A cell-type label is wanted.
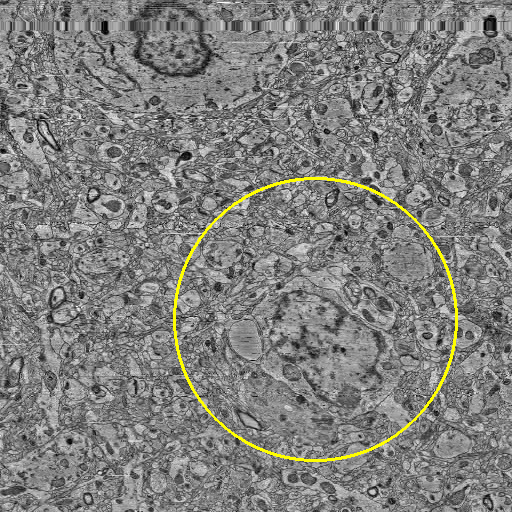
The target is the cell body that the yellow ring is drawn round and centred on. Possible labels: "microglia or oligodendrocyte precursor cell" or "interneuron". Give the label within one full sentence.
Of the labels offered, the cell in the middle of the yellow ring is an interneuron.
